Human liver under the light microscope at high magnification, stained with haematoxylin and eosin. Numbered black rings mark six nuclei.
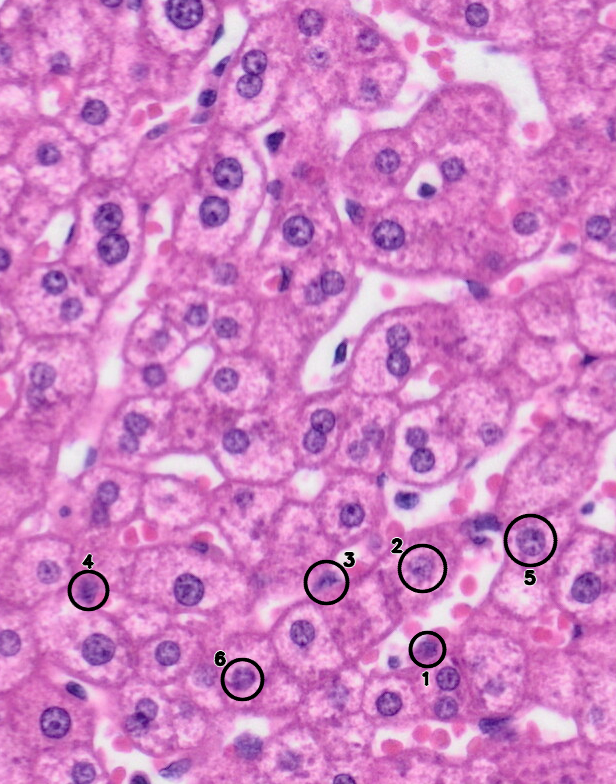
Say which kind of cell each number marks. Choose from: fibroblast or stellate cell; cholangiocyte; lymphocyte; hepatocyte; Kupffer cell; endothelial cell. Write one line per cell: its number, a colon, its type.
1: Kupffer cell
2: hepatocyte
3: endothelial cell
4: endothelial cell
5: hepatocyte
6: hepatocyte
